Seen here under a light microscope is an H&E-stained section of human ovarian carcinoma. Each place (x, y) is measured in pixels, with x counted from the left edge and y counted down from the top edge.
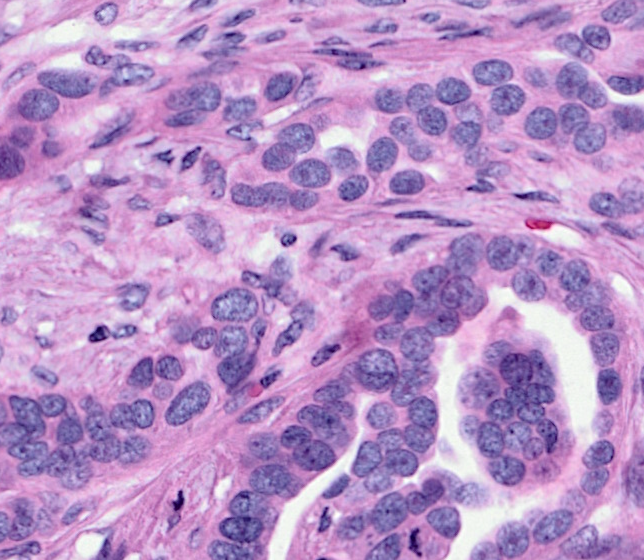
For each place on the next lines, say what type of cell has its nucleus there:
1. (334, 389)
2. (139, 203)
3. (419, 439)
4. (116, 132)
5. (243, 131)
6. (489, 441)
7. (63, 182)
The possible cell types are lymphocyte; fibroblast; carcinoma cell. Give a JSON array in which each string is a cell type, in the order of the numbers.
["carcinoma cell", "fibroblast", "carcinoma cell", "fibroblast", "fibroblast", "carcinoma cell", "fibroblast"]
